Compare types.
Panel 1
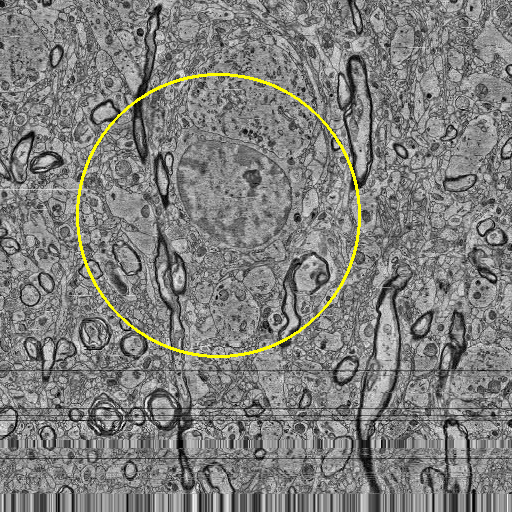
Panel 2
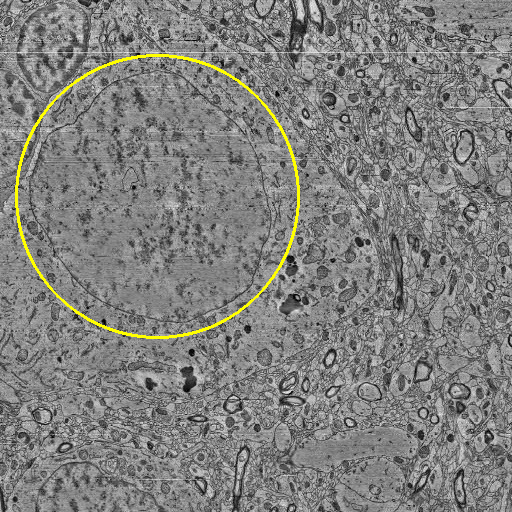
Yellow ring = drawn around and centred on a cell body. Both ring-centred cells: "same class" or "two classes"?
two classes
